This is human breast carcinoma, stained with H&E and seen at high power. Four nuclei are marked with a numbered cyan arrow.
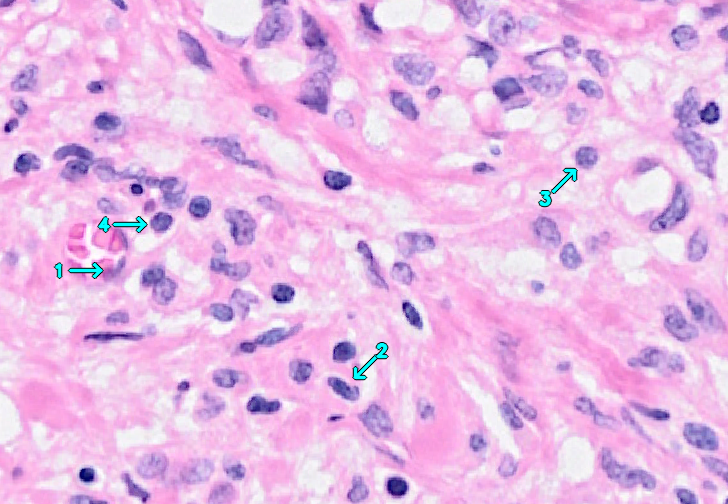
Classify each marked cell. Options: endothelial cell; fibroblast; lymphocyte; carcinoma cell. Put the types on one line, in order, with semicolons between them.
endothelial cell; lymphocyte; lymphocyte; lymphocyte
